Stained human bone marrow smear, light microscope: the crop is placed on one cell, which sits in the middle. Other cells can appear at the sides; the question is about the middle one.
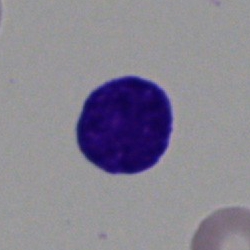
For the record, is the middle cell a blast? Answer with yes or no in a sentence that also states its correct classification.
Yes, the cell at the centre is designated a blast.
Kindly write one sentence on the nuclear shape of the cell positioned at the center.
Have a look at the nucleus, which is one compact mass, round, oval or kidney-shaped.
